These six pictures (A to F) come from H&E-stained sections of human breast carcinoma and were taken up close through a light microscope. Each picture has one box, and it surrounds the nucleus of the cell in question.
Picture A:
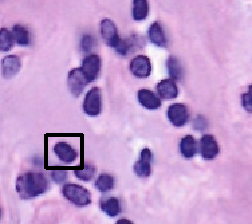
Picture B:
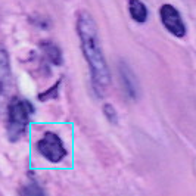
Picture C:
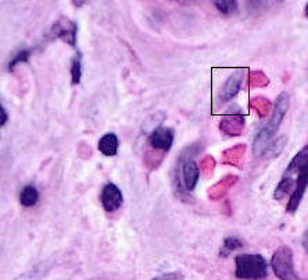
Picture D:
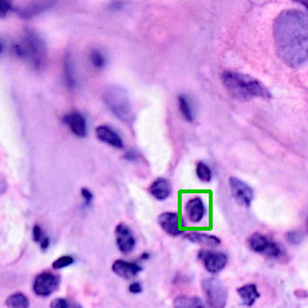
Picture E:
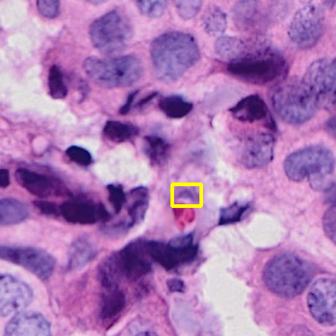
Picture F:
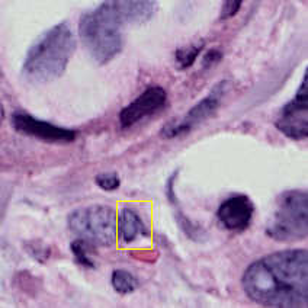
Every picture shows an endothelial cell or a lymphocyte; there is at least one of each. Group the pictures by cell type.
A: lymphocyte
B: lymphocyte
C: endothelial cell
D: lymphocyte
E: endothelial cell
F: endothelial cell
